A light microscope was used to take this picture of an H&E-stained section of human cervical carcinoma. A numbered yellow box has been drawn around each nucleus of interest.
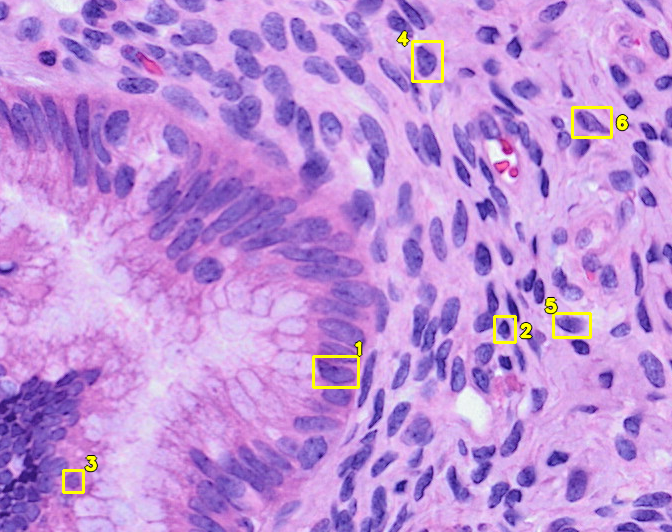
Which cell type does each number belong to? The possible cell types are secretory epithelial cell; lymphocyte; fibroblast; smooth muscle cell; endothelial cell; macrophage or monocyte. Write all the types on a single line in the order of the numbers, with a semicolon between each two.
secretory epithelial cell; fibroblast; secretory epithelial cell; fibroblast; fibroblast; fibroblast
